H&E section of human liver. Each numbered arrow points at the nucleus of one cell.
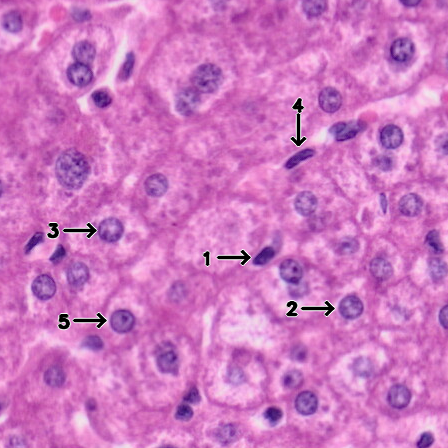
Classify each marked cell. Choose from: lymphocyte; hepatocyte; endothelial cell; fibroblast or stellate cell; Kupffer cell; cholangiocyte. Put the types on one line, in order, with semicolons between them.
fibroblast or stellate cell; hepatocyte; hepatocyte; lymphocyte; hepatocyte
